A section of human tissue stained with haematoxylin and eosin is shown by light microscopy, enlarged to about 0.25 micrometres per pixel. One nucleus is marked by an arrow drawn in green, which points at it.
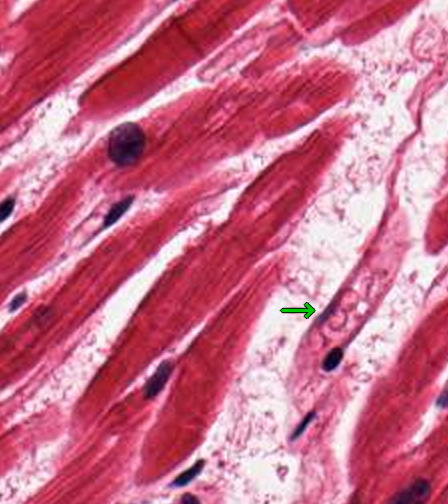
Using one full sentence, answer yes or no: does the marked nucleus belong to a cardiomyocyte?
No, the cell bearing the marked nucleus is not a cardiomyocyte but a supporting cell.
